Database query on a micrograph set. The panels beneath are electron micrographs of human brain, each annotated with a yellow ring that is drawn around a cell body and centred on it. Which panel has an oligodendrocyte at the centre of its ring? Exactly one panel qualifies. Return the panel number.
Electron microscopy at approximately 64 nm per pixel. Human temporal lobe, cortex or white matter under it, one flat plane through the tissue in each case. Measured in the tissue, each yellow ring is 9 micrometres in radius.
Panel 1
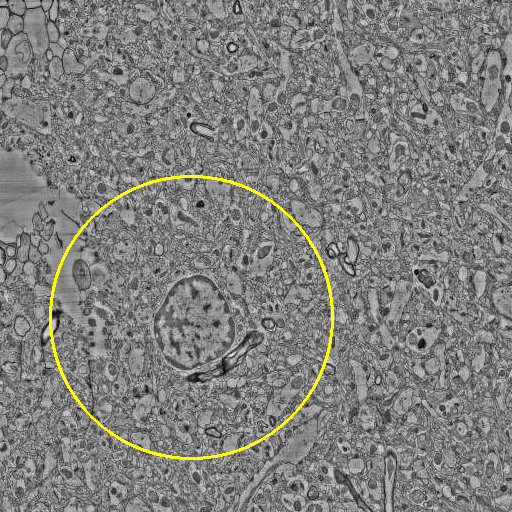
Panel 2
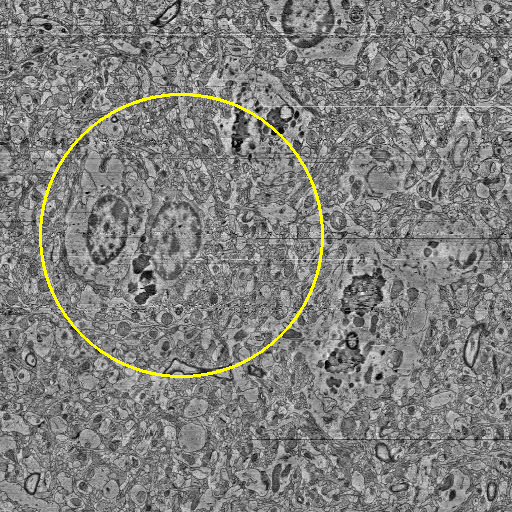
2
